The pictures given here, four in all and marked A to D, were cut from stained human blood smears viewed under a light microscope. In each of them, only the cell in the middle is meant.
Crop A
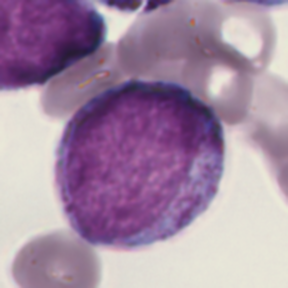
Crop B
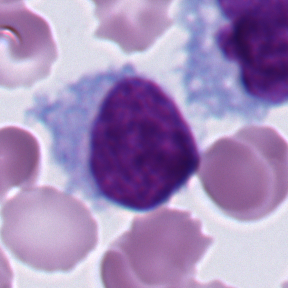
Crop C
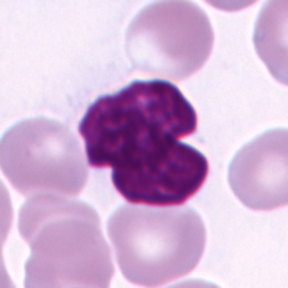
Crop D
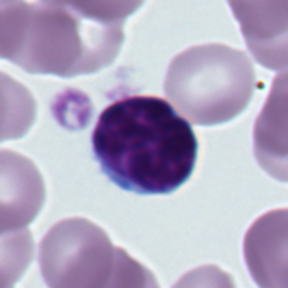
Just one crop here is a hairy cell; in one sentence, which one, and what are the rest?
Crop B features a hairy cell, while crop A is a promyelocyte, crop C is a smudge cell and crop D is a typical lymphocyte.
